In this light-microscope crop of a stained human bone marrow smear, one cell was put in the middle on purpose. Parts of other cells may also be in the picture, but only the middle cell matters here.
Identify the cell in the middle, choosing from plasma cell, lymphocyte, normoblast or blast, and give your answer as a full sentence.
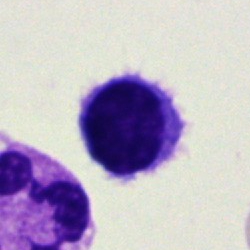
Seen at the centre of the crop is a lymphocyte.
